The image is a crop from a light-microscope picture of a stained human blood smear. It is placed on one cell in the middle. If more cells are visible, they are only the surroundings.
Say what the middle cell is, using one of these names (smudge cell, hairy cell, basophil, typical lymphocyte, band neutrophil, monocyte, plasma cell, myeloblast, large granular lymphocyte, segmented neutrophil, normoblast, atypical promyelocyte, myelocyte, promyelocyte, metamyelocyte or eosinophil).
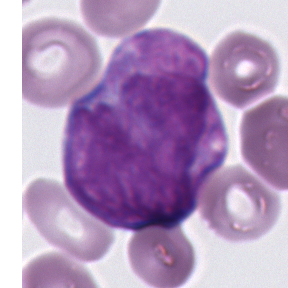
atypical promyelocyte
